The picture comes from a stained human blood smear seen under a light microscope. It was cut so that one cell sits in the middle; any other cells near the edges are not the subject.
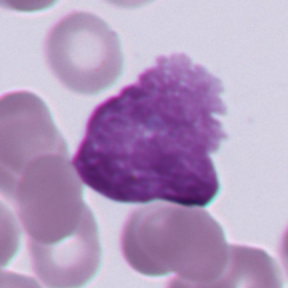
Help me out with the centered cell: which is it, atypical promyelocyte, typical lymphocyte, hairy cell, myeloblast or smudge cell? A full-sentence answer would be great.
The cell in the exact centre of the crop is a smudge cell.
